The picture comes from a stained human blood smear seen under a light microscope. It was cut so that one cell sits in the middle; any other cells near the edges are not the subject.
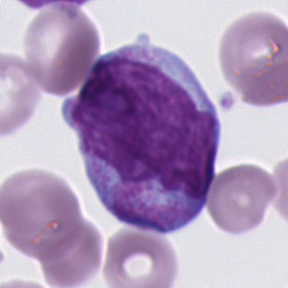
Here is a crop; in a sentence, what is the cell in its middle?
On this slide crop, the central cell is an atypical promyelocyte.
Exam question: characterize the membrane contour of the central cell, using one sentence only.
Not smooth, the outline of the cell is ragged or drawn out into projections.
